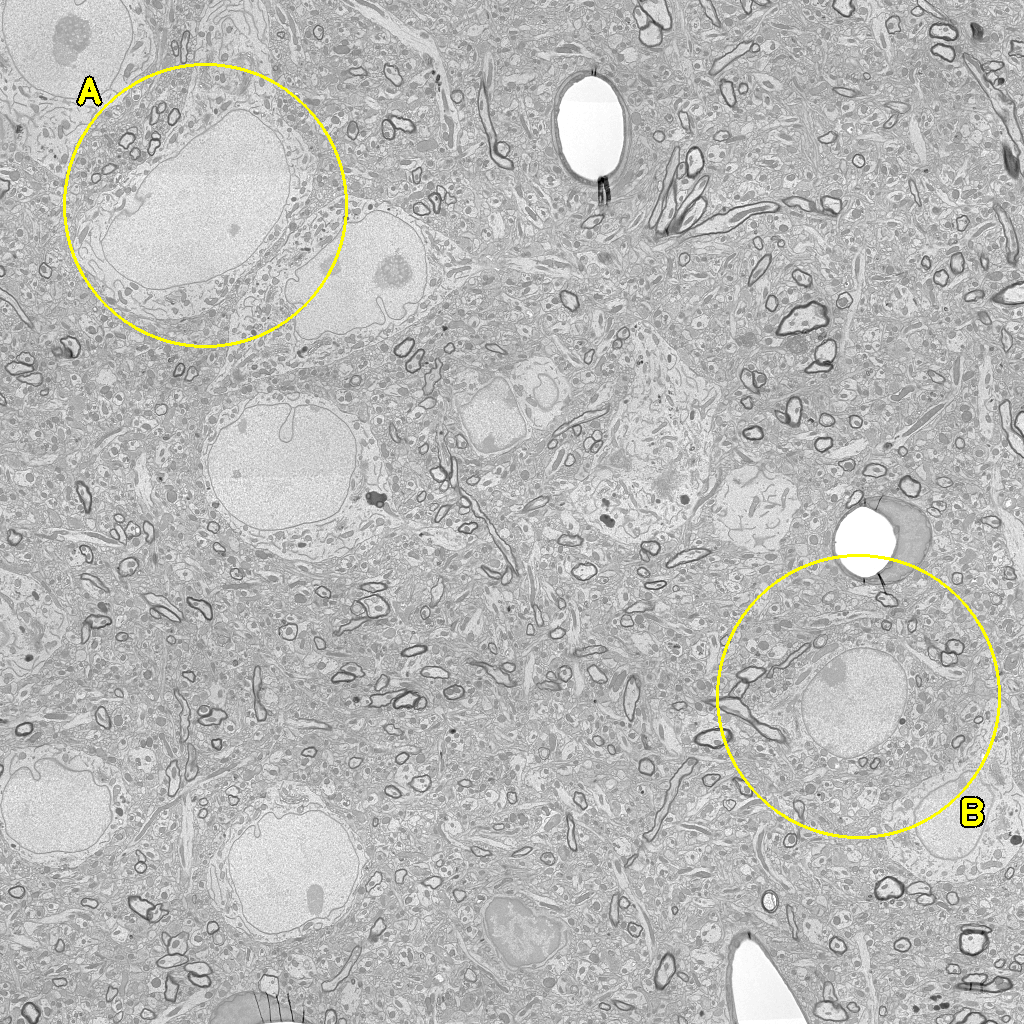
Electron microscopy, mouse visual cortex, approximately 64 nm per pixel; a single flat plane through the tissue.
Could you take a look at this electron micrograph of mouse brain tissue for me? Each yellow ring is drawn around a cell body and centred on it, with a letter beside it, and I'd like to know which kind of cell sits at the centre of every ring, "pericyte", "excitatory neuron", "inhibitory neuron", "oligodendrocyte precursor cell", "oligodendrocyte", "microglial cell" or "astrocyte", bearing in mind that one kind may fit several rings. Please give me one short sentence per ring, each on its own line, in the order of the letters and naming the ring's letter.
Ring A is centred on an excitatory neuron.
Ring B is centred on an astrocyte.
